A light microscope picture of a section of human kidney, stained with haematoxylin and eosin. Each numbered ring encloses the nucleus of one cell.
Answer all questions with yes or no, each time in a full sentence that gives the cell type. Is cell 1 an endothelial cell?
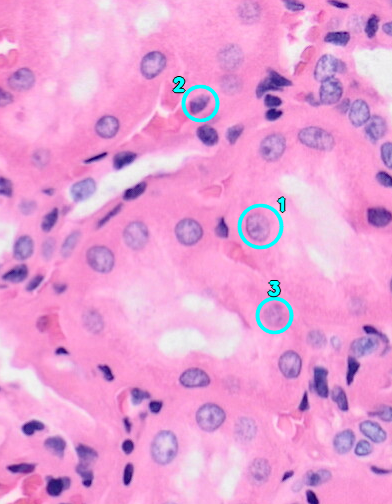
No, the cell at number 1 is a proximal tubule cell instead of an endothelial cell.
